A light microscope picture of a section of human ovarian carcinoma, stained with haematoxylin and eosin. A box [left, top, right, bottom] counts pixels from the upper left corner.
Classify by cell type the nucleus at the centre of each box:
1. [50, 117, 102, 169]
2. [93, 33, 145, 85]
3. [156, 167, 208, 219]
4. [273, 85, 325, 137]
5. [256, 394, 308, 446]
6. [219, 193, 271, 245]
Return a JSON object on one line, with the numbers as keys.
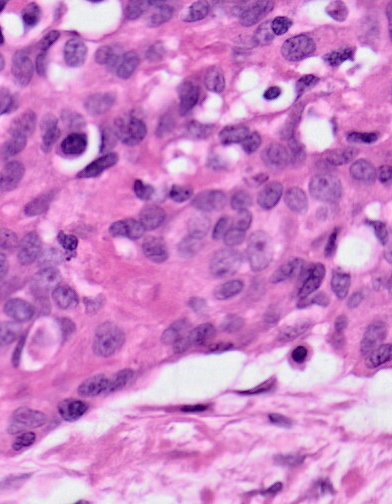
{"1": "carcinoma cell", "2": "carcinoma cell", "3": "macrophage or monocyte", "4": "carcinoma cell", "5": "fibroblast", "6": "carcinoma cell"}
